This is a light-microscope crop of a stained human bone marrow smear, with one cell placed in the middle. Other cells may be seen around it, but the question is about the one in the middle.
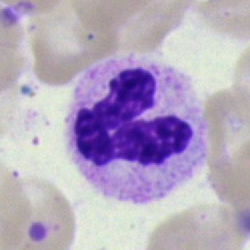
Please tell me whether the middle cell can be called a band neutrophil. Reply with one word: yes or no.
no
